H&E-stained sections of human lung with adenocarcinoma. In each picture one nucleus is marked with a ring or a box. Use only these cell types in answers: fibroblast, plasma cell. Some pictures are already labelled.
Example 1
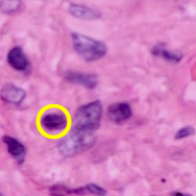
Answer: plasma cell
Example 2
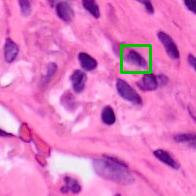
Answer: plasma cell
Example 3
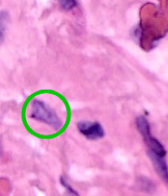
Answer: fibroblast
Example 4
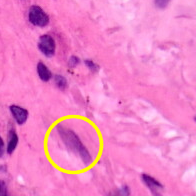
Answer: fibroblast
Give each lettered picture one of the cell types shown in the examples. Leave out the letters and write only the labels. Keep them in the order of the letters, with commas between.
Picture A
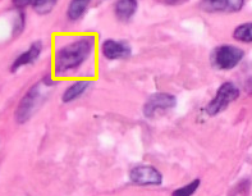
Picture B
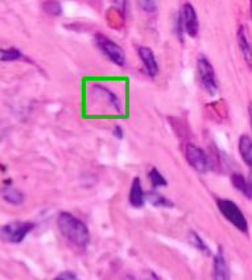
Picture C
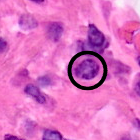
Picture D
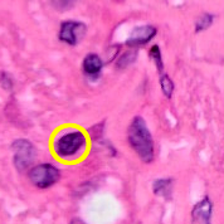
plasma cell, fibroblast, plasma cell, plasma cell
